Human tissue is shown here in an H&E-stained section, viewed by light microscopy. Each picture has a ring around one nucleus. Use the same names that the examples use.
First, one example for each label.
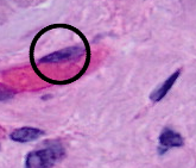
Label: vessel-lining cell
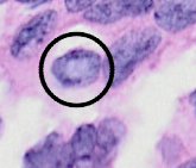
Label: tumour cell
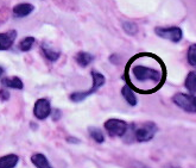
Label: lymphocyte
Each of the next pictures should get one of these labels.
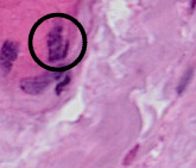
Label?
vessel-lining cell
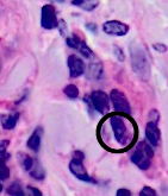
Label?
lymphocyte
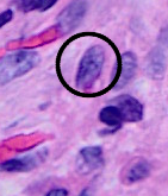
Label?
vessel-lining cell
